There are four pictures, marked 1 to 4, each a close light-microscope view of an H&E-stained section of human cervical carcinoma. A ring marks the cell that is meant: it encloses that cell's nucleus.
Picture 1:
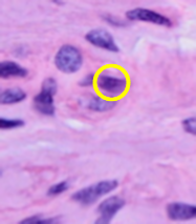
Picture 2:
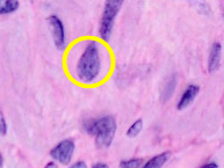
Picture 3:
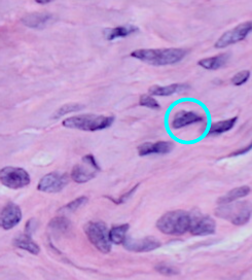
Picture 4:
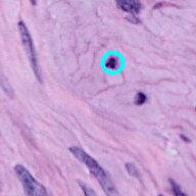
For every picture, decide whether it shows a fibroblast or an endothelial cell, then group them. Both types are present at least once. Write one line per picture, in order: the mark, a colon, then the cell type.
1: endothelial cell
2: fibroblast
3: fibroblast
4: fibroblast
